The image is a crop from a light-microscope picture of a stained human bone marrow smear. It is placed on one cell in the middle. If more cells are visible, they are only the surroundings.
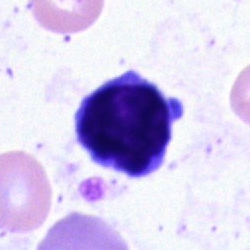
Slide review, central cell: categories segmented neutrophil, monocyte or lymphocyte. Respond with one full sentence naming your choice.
Here the cell in the middle is a lymphocyte.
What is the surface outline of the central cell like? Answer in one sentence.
The boundary of the cell runs irregularly, ragged in parts or drawn into projections.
